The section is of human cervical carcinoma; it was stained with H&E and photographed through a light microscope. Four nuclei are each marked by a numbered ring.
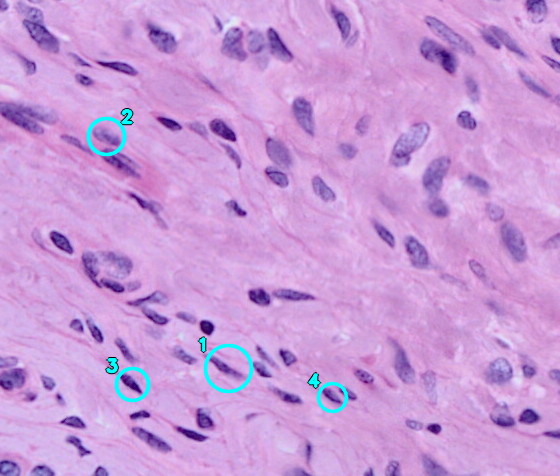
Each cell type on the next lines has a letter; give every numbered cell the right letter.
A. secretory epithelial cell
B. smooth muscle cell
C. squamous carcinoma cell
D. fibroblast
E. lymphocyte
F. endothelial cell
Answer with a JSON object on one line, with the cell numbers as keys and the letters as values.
{"1": "D", "2": "B", "3": "D", "4": "D"}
